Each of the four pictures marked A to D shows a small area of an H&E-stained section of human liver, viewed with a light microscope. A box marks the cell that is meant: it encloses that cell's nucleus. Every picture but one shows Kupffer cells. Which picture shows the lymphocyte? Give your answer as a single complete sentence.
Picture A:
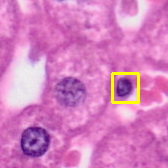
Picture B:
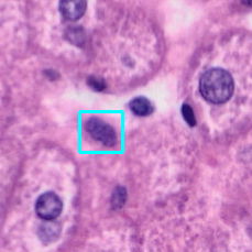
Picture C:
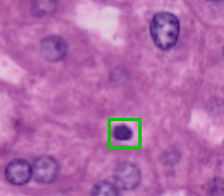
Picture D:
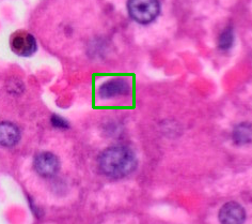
The cell in picture C is the lymphocyte.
